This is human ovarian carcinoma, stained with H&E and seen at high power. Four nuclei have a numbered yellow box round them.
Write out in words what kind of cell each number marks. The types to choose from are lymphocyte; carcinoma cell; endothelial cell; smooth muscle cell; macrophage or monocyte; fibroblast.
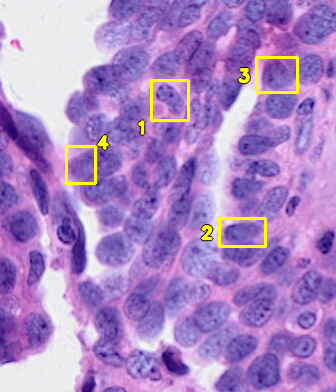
Cell 1 is a macrophage or monocyte, cell 2 is a carcinoma cell, cell 3 is a carcinoma cell and cell 4 is a carcinoma cell.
